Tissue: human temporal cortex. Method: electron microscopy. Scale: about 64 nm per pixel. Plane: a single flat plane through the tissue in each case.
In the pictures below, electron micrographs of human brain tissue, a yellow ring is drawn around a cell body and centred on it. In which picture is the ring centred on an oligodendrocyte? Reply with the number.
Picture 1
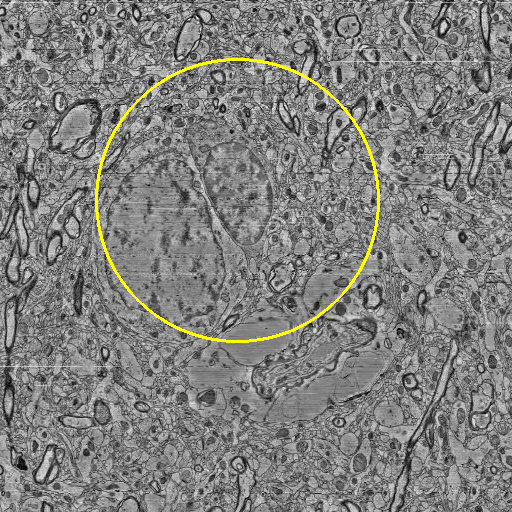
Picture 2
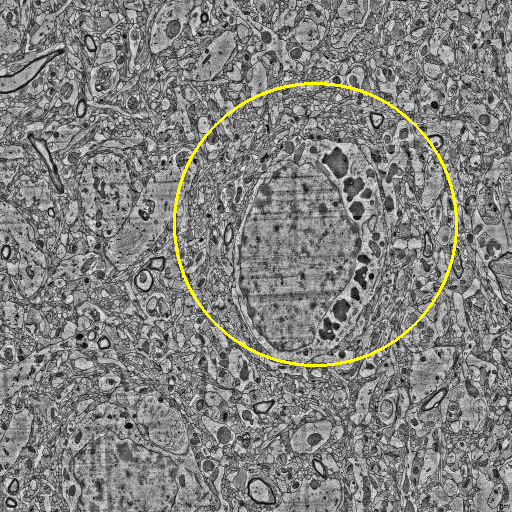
1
